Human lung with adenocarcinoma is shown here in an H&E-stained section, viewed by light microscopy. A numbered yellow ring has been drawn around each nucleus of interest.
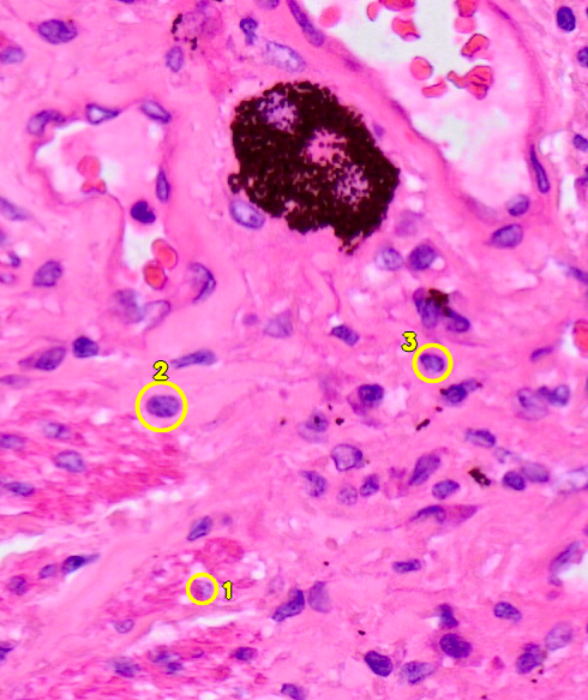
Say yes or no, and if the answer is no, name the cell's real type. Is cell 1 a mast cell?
No, it is a smooth muscle cell or pericyte.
